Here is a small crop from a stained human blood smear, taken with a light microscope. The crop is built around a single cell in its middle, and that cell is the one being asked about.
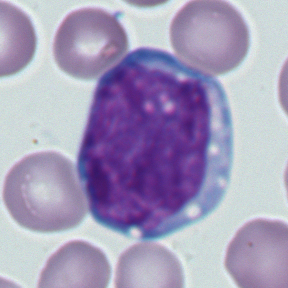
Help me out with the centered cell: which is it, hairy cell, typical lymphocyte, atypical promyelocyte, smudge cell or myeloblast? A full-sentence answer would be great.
Regarding the central cell, it is a myeloblast.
